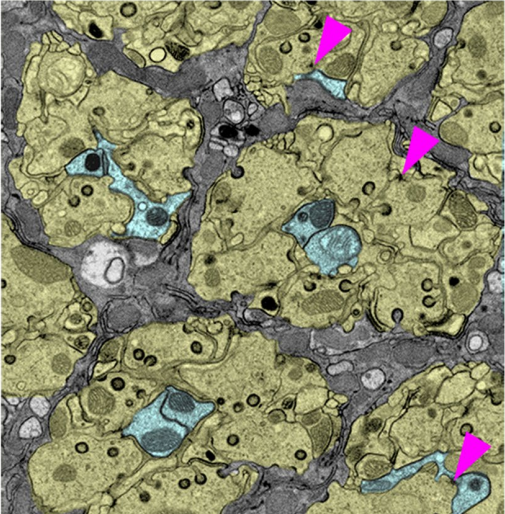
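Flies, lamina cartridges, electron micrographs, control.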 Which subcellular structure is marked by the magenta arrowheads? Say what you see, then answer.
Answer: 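Each arrowhead tip touches a small electron-dense dark spot at a membrane. The dark spots lie at the edge of the tan-shaded profiles next to other profiles. On this evidence: T-bars.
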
